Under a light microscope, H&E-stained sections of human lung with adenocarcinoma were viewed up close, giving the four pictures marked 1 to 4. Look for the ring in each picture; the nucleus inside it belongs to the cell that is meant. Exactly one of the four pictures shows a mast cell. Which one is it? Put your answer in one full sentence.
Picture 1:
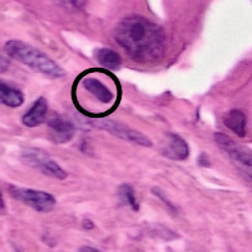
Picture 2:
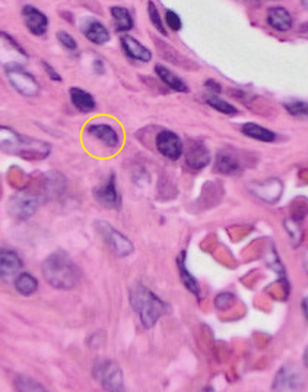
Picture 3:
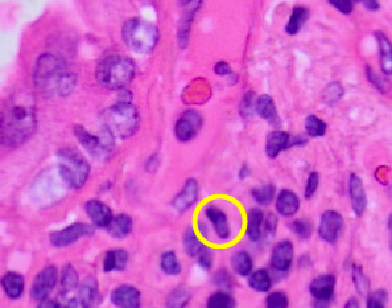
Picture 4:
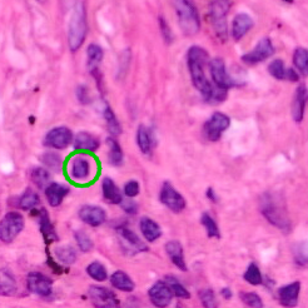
It is picture 2 that shows the mast cell.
